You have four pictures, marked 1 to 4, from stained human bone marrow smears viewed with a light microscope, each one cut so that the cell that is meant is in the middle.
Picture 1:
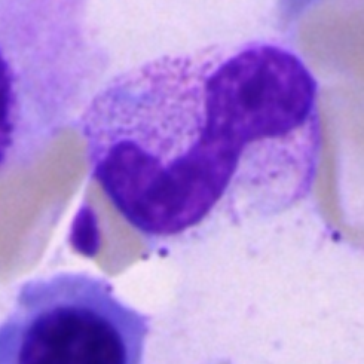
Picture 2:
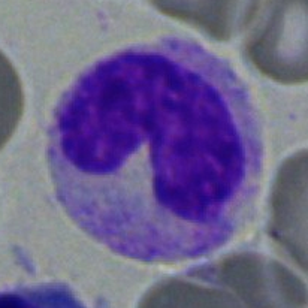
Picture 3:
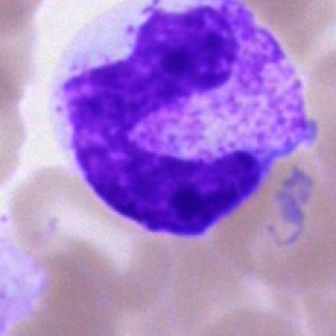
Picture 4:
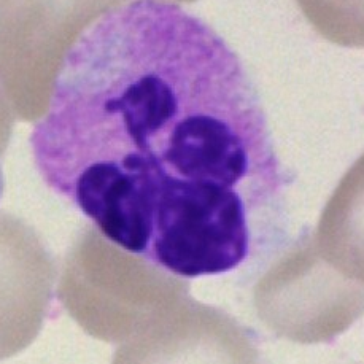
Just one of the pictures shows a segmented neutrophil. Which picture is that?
4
